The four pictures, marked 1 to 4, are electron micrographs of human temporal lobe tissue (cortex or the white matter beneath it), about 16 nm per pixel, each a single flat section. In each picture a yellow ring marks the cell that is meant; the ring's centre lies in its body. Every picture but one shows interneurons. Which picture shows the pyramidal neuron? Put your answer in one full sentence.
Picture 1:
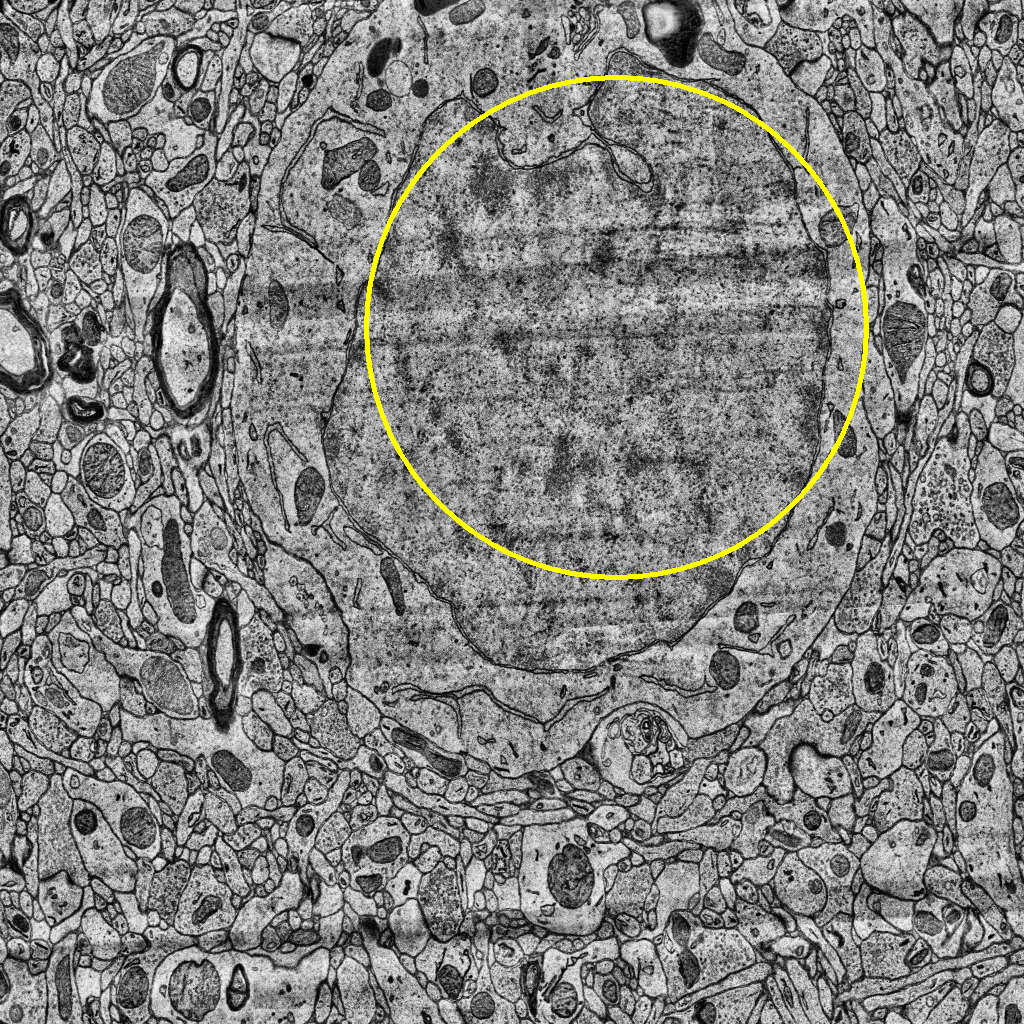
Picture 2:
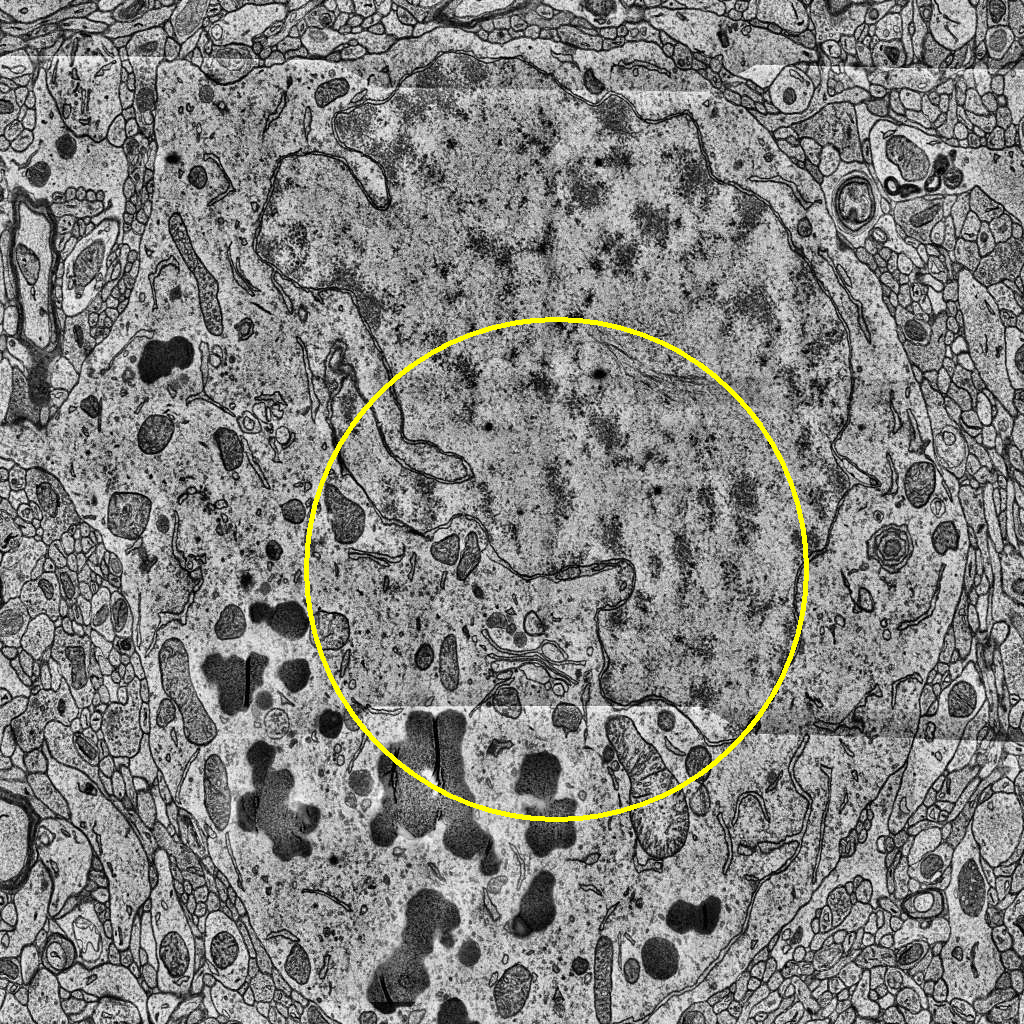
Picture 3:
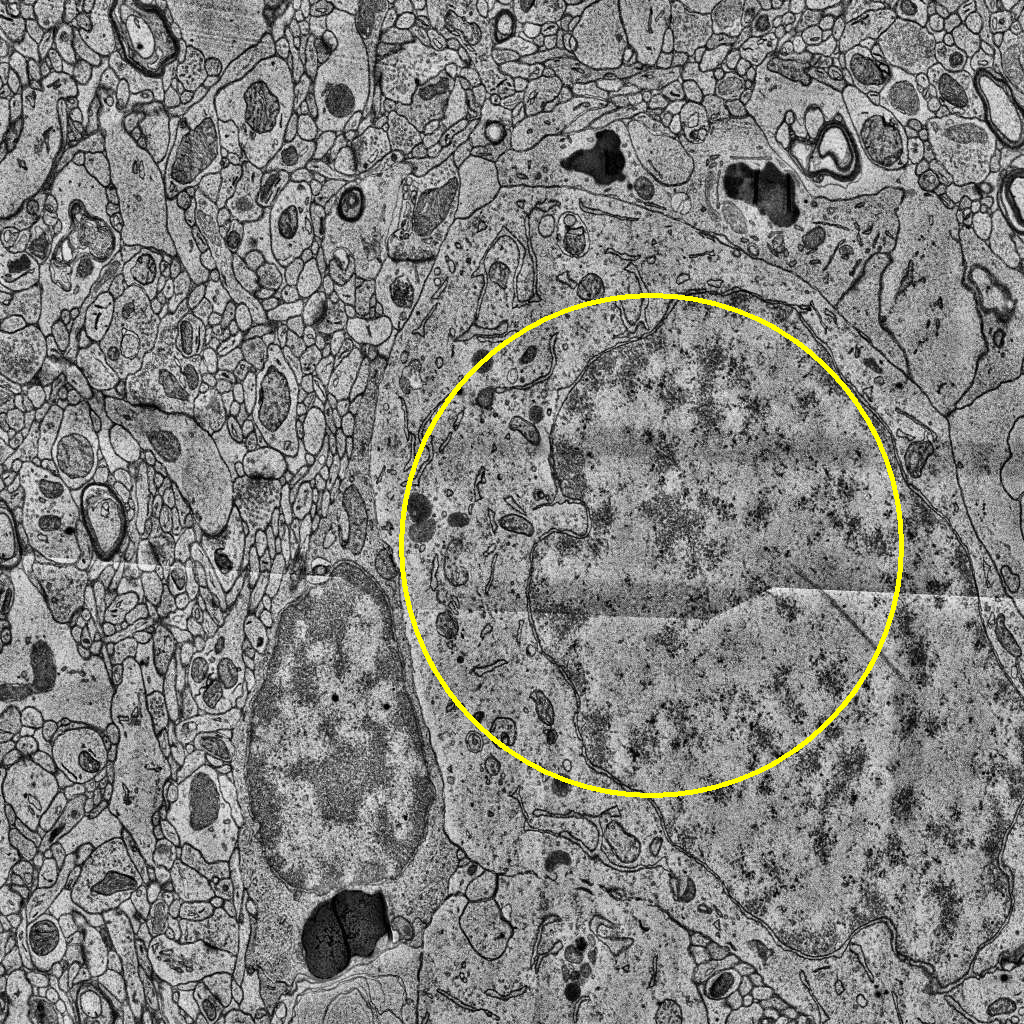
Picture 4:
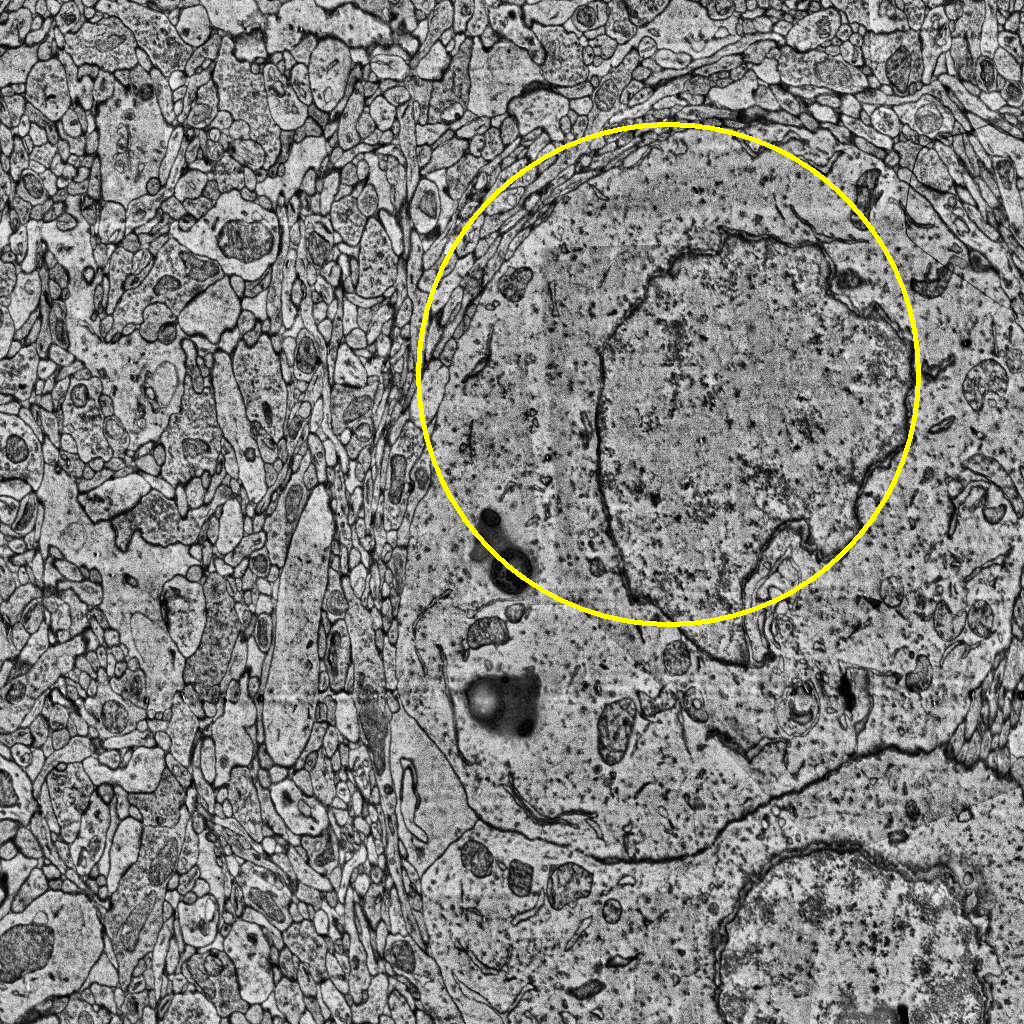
Picture 4 shows the pyramidal neuron.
